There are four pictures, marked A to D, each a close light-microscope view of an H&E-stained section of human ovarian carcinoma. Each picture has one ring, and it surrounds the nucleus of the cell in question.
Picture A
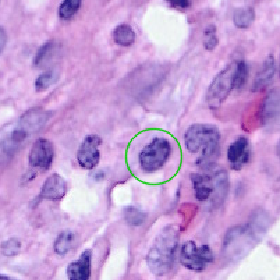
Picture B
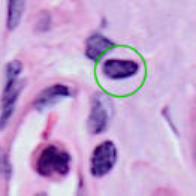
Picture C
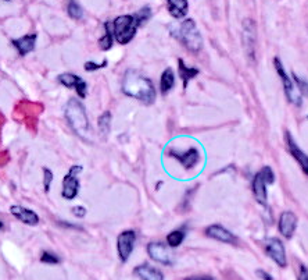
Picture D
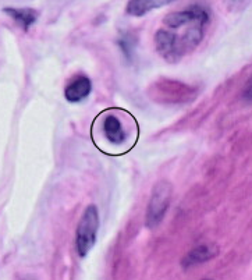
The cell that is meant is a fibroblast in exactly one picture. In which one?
C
